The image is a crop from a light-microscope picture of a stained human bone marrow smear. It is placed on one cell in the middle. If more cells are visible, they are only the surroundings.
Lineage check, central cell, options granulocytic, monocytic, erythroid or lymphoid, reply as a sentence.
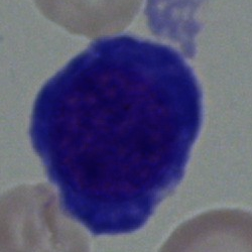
With respect to lineage, the central cell is to be called erythroid.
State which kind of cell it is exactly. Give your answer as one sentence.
The cell nearest the centre of this crop is a proerythroblast.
